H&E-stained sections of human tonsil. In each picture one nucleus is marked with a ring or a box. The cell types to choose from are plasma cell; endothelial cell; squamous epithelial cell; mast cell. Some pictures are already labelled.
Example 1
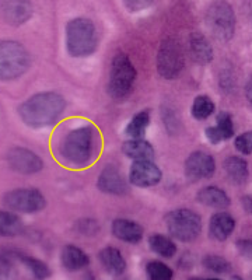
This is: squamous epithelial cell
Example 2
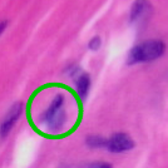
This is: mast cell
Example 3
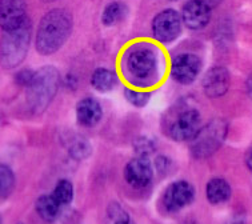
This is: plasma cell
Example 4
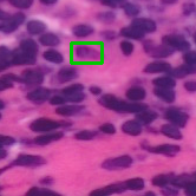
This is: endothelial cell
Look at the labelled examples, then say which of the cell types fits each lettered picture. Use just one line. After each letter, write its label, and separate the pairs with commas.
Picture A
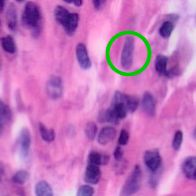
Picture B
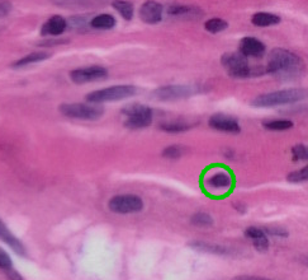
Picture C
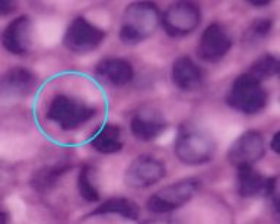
A mast cell, B mast cell, C squamous epithelial cell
